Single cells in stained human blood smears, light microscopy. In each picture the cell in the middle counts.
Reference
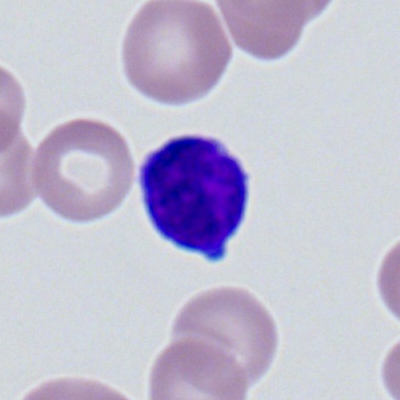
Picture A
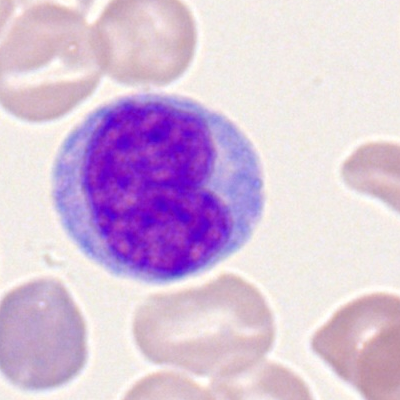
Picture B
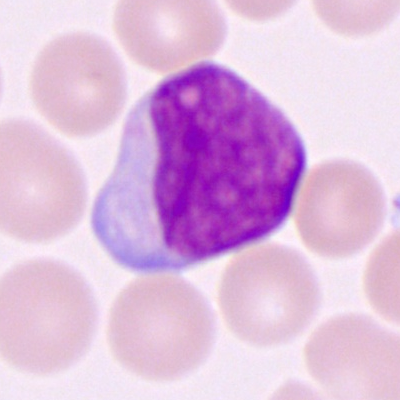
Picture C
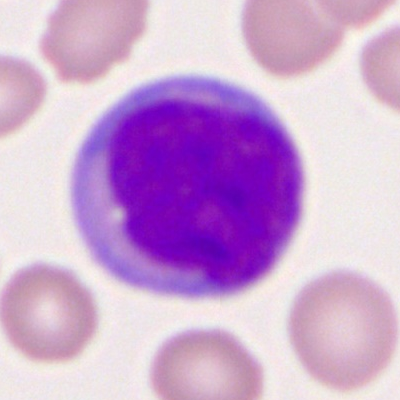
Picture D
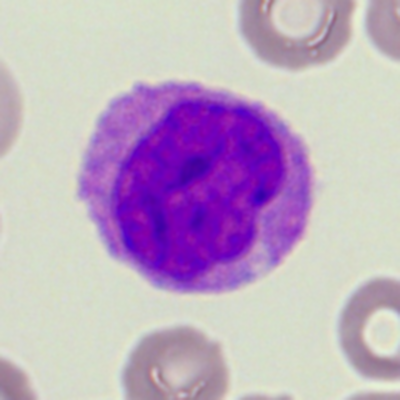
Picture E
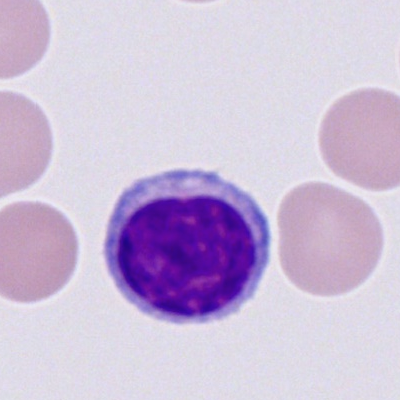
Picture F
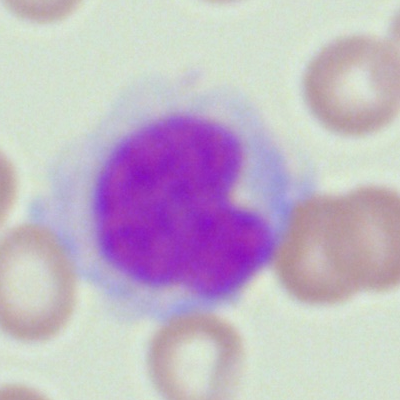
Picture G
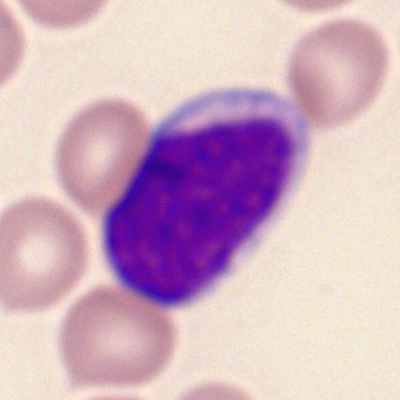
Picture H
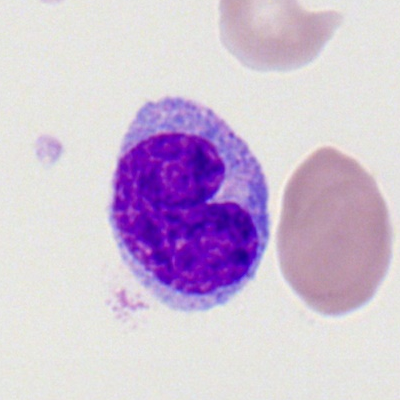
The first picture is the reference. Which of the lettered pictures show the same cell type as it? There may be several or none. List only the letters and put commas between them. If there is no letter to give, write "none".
E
